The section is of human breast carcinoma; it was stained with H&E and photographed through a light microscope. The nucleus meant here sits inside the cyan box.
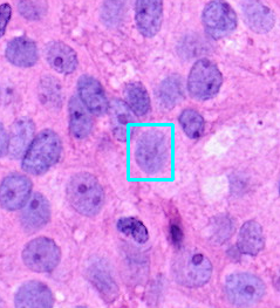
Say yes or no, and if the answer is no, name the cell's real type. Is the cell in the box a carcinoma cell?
Yes.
